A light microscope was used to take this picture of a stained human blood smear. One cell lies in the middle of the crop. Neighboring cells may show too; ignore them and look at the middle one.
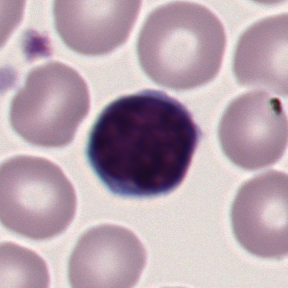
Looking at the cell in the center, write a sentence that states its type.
In the centre of this crop there is a lymphocyte.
